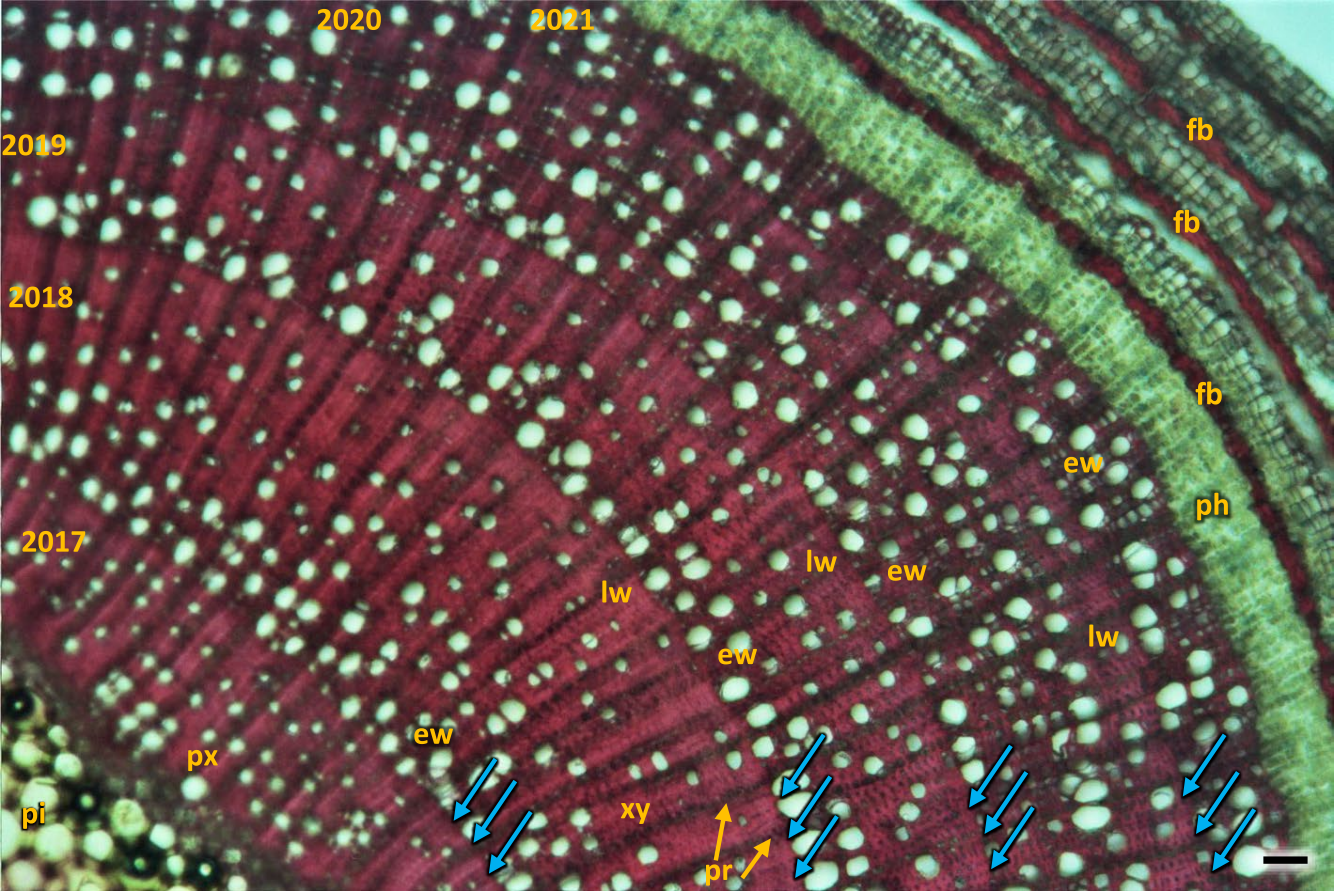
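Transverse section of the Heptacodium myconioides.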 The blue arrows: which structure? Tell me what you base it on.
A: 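The blue arrows point at lines that run parallel to the outer surface of the wood. On one side of each line the wood is dense with small openings, and on the other side large round vessels begin. That points to this answer: border of annual rings.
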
